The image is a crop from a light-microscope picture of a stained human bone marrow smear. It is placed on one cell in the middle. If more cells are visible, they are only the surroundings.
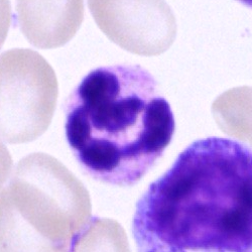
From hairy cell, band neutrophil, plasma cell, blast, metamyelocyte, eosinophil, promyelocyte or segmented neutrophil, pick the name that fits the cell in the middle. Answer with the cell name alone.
segmented neutrophil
